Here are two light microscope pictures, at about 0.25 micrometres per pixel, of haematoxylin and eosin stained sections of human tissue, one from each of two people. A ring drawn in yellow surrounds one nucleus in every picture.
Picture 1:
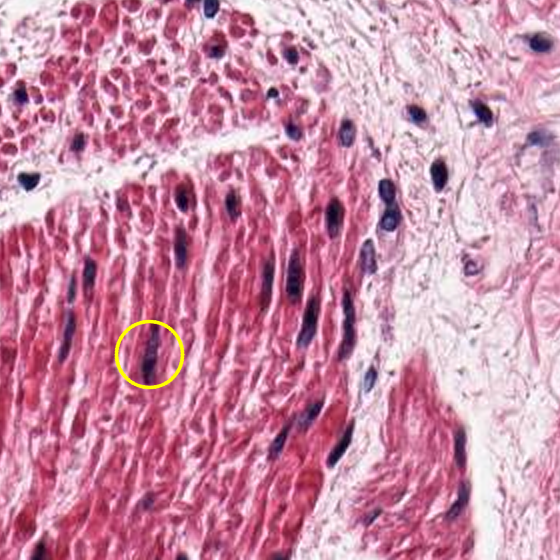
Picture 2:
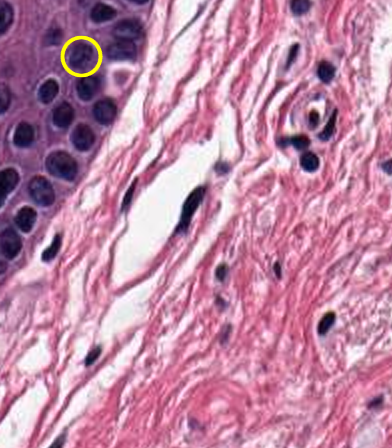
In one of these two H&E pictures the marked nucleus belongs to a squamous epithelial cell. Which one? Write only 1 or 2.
2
